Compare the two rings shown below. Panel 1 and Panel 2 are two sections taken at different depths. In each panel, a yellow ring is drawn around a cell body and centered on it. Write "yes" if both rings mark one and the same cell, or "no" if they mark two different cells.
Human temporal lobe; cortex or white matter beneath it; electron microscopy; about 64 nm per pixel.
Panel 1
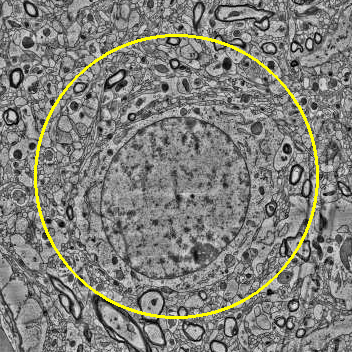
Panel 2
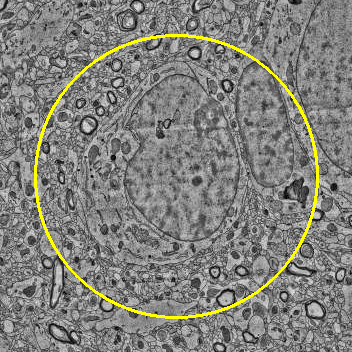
no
